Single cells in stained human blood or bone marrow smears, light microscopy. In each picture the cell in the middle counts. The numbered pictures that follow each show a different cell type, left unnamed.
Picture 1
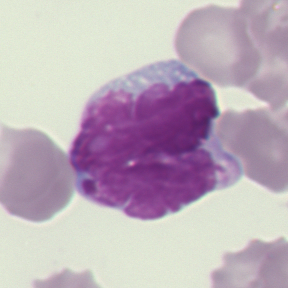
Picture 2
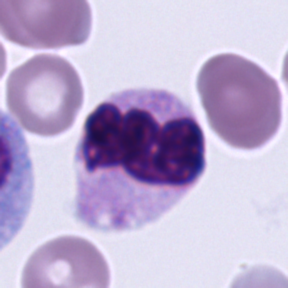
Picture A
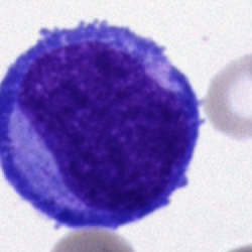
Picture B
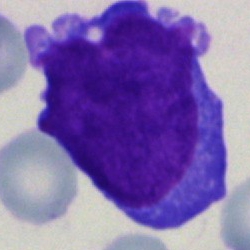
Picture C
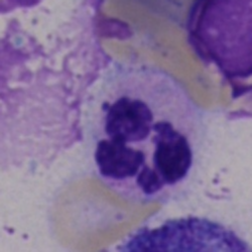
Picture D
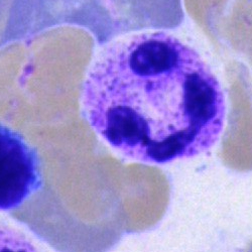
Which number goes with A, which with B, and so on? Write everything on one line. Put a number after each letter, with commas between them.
A 1, B 1, C 2, D 2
